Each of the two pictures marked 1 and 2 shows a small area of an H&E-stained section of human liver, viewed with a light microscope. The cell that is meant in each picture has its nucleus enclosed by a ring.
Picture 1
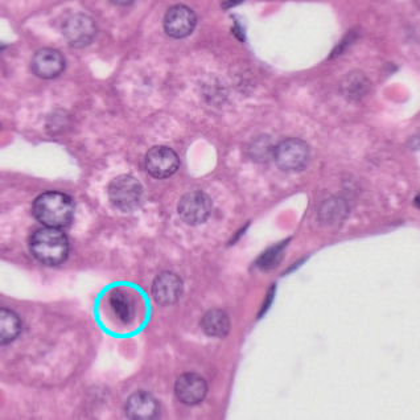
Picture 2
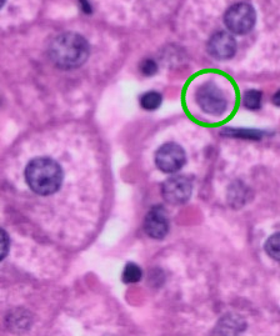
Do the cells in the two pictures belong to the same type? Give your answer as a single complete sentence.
Yes, the two pictures both show Kupffer cells.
